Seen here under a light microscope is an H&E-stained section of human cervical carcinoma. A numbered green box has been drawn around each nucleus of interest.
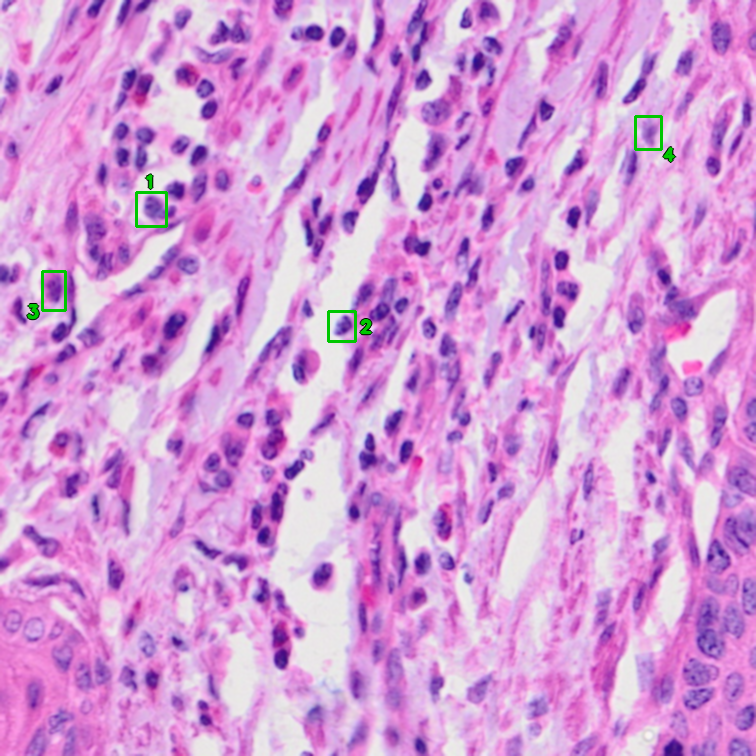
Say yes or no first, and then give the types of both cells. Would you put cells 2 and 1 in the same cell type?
Yes, both are lymphocytes.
